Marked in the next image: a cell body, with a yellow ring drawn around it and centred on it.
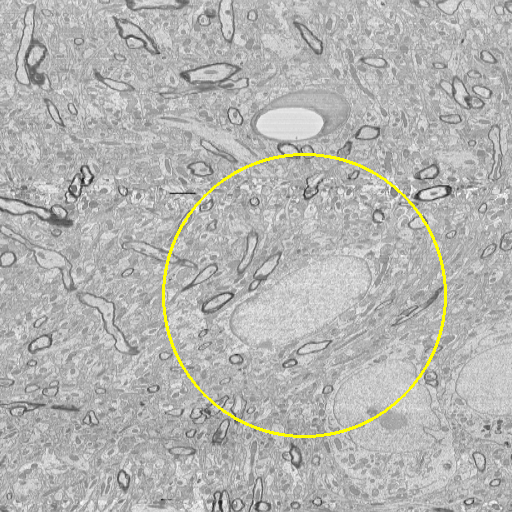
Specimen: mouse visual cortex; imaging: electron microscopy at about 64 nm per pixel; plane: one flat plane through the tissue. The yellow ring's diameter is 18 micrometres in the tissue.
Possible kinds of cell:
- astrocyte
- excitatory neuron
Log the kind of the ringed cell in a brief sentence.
The ringed cell body is that of an astrocyte.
